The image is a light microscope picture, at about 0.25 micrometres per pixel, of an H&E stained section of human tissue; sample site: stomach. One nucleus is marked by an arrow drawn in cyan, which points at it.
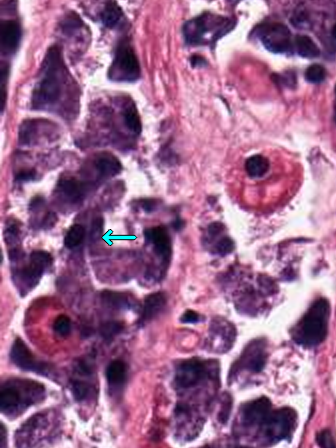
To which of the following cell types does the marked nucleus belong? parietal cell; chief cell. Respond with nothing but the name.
chief cell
